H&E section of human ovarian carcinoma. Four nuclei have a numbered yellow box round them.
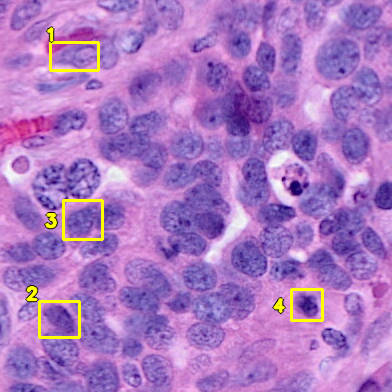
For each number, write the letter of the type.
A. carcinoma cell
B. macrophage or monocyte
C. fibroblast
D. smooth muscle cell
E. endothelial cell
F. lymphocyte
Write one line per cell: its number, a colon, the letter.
1: E
2: A
3: A
4: F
